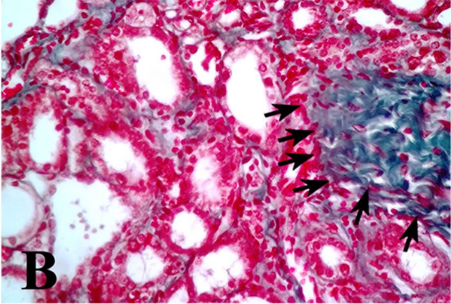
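Kidney tissue with renal tubules and a fibrotic area in the interstitium. The tubules are lined by red-staining epithelial cells around open lumens, several of them dilated. On the right a large patch of blue-green fibrous material with scattered elongated nuclei lies between and around the tubules.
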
